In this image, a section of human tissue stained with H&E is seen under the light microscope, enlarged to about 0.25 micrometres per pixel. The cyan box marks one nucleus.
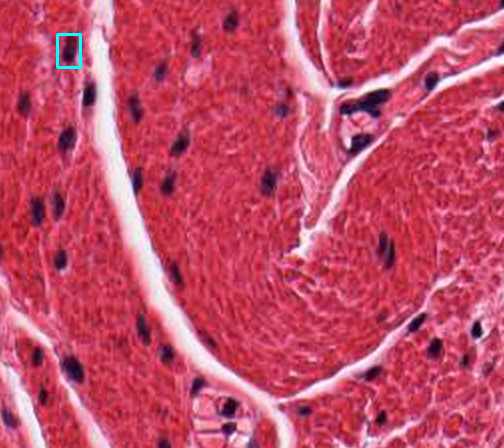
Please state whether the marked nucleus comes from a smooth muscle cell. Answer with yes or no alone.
yes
